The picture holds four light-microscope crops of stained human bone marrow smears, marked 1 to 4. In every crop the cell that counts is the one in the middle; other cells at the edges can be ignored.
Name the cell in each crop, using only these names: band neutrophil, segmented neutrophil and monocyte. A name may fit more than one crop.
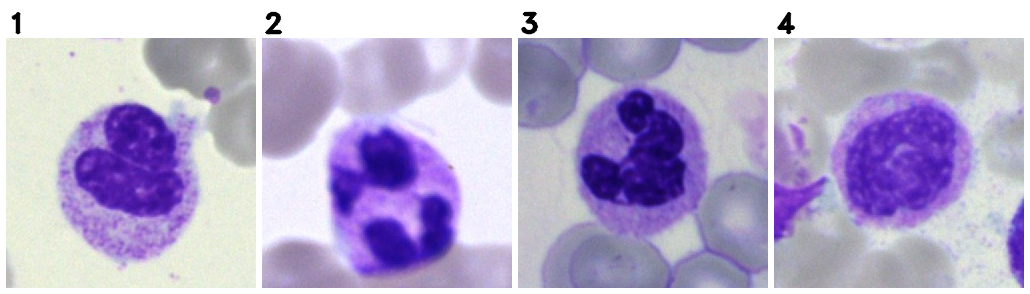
1: band neutrophil
2: segmented neutrophil
3: segmented neutrophil
4: segmented neutrophil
